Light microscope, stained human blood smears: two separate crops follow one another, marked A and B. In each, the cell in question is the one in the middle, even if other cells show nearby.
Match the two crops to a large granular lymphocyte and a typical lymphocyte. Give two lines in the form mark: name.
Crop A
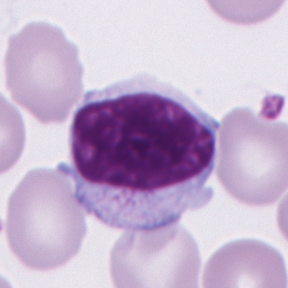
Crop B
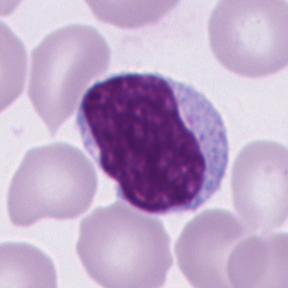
A: large granular lymphocyte
B: typical lymphocyte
